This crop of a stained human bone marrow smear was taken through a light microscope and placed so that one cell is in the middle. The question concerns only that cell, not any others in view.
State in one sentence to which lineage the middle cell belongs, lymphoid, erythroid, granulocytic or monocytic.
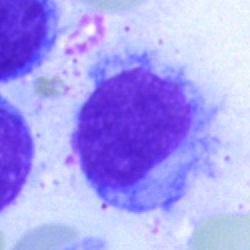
The middle cell of the crop belongs with the cells of the lymphoid lineage.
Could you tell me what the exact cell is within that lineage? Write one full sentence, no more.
Within this crop, a hairy cell occupies the central position.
